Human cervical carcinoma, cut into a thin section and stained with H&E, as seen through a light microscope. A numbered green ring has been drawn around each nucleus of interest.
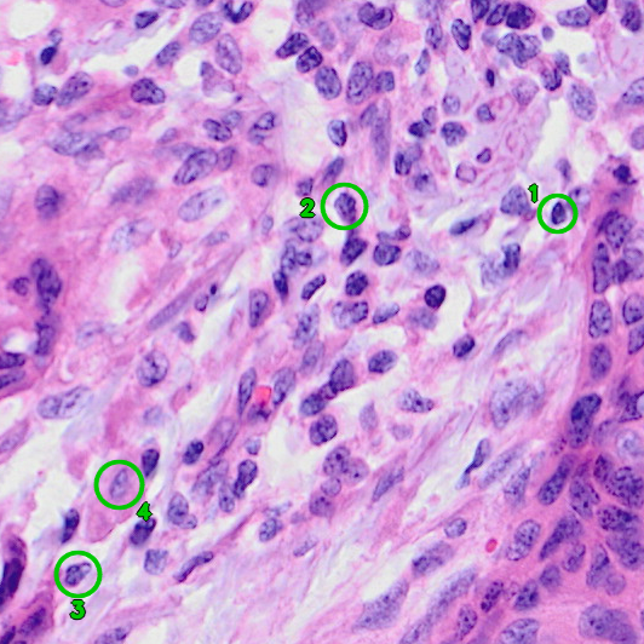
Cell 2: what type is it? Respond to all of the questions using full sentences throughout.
The cell that carries the label 2 is a lymphocyte.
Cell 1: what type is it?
The cell that is numbered 1 is a lymphocyte.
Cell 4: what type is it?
The cell identified by number 4 is an endothelial cell.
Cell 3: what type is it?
The cell numbered 3 has been identified as a lymphocyte.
